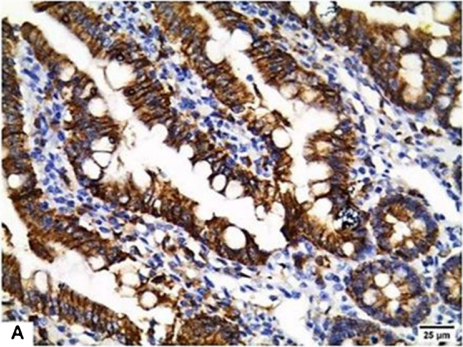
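This is the lining of the small intestine, with villi cut lengthwise and crypts cut across near the lower right. Each villus is covered by a single layer of tall columnar epithelial cells whose cytoplasm is stained a strong brown, with their blue oval nuclei lined up near the base. Scattered among them are clear, round, unstained vacuoles that bulge toward the lumen. The cores of the villi are filled with loose connective tissue holding many small blue nuclei and only faint brown. The crypts appear as small rings of cuboidal to columnar cells around a tiny central lumen, and their lining is also brown.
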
